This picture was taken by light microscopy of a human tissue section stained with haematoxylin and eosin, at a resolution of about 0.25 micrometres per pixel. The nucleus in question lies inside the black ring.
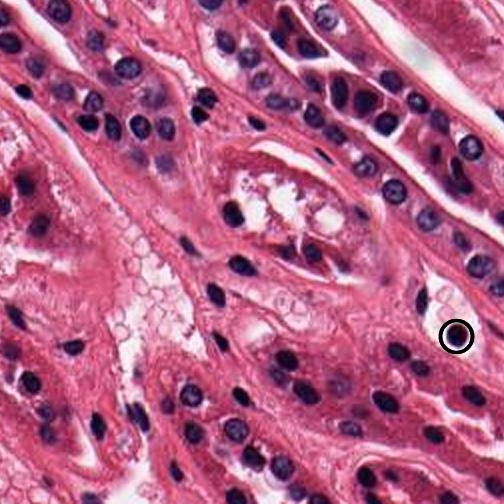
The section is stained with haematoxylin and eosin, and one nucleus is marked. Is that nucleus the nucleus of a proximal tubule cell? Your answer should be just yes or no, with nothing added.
no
